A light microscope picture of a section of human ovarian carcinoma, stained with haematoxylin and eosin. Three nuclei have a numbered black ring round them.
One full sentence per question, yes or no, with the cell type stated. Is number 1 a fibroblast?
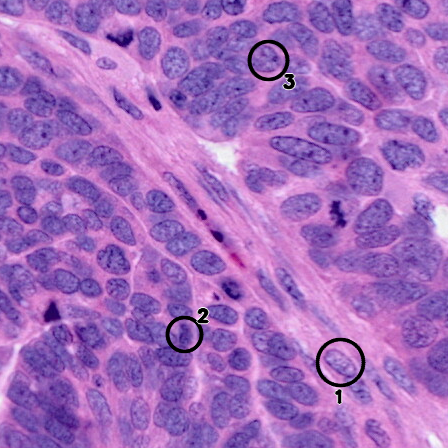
Yes, to put it simply, cell number 1 is a fibroblast.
